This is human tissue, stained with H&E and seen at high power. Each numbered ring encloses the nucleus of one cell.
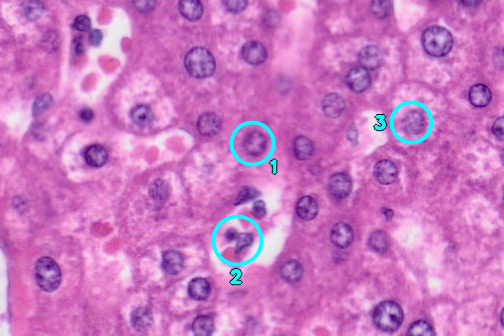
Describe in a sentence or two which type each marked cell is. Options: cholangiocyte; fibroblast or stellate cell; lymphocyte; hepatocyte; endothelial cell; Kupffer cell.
Cell 1 is a hepatocyte, cell 2 is a Kupffer cell and cell 3 is a hepatocyte.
